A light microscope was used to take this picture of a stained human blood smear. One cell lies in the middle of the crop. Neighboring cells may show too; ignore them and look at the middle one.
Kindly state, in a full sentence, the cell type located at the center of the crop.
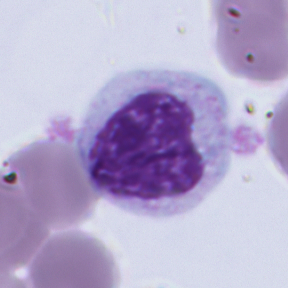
The cell in the exact centre of the crop is a metamyelocyte.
